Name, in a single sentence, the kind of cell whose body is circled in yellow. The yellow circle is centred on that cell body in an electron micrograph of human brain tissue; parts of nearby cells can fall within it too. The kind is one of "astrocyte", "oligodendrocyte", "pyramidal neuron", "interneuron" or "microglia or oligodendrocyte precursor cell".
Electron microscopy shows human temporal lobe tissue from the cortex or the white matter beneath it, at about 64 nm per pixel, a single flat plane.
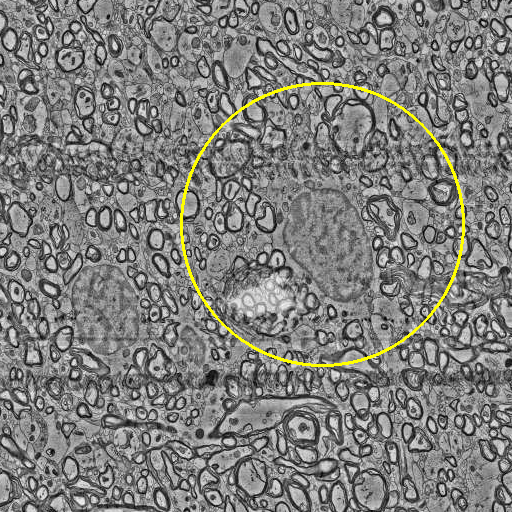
The circled cell body belongs to an oligodendrocyte.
